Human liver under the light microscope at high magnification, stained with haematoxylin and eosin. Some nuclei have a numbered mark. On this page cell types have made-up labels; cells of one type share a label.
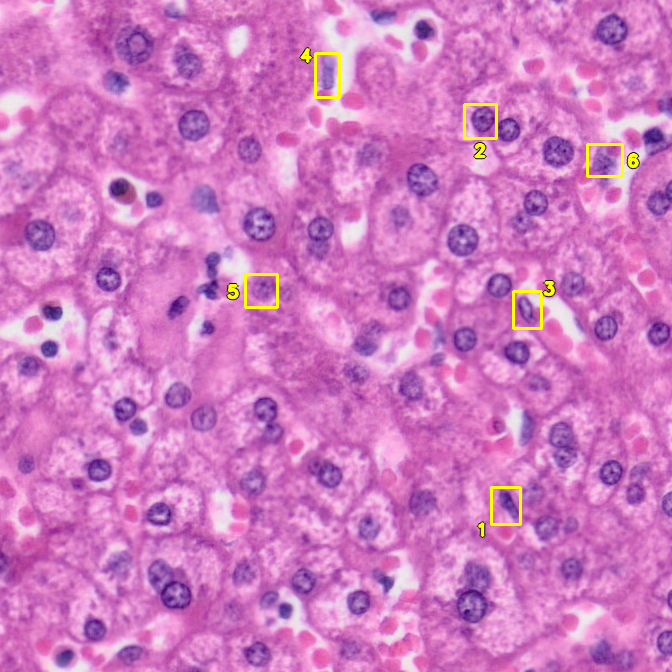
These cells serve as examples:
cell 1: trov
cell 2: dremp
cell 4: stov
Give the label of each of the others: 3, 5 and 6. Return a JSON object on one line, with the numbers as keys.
{"3": "stov", "5": "dremp", "6": "stov"}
